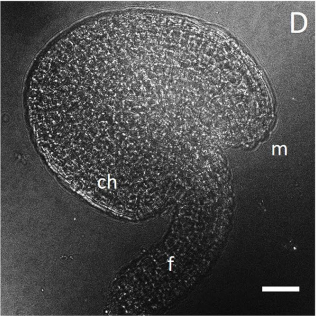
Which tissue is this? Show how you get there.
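A curved, rounded body of small packed cells sits on a narrow stalk. The body bends so that its opening lies beside the stalk.
Conclusion: ovule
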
